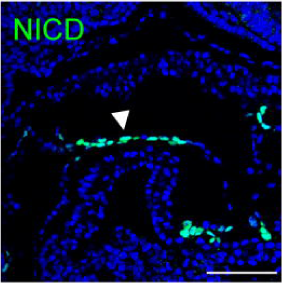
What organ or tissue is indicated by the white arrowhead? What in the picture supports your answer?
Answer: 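Endocardium. The arrowhead points to a thin single layer of flat cells lining the heart lumen.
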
